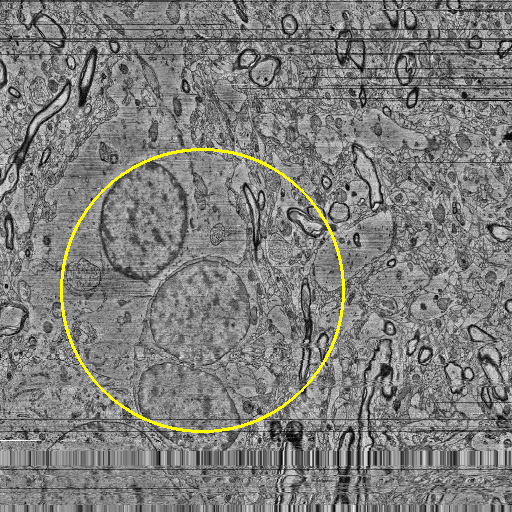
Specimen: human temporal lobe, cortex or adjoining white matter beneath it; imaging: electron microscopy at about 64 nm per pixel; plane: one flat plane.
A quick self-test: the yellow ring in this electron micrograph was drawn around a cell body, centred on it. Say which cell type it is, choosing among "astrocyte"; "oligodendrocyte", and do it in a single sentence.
The yellow-ringed cell is an oligodendrocyte.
